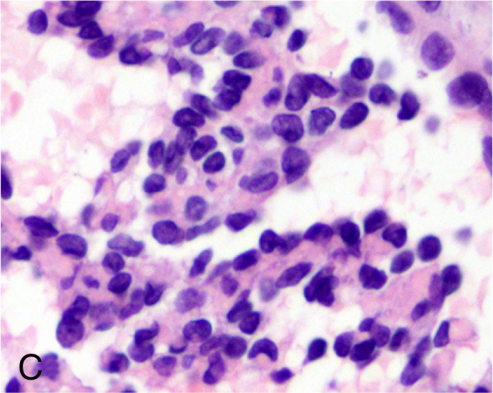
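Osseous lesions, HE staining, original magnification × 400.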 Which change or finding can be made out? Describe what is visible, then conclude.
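“hobnail” appearance. Cells have large dark nuclei that bulge outward. Cytoplasm is scant compared with the nuclei.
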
